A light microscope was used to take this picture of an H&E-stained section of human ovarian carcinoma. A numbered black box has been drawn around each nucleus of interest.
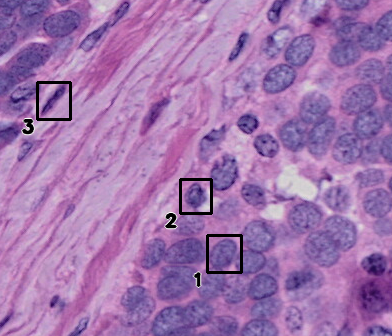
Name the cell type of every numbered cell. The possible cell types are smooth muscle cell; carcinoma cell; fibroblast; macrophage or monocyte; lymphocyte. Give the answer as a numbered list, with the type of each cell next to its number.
1. carcinoma cell
2. macrophage or monocyte
3. fibroblast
